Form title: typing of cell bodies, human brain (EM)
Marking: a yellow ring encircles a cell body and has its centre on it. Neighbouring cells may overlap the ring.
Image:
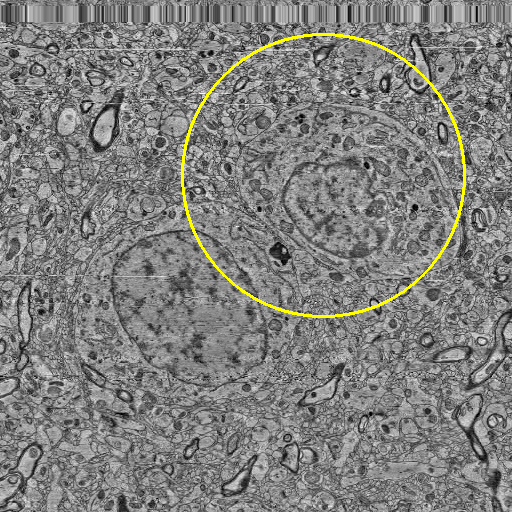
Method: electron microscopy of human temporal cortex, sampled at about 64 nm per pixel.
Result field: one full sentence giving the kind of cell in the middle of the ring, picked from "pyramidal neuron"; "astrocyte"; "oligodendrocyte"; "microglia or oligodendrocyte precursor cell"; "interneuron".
In the picture, the ring is centred on an interneuron, whose cell body it encircles.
